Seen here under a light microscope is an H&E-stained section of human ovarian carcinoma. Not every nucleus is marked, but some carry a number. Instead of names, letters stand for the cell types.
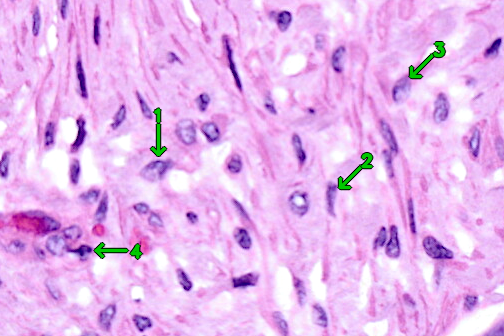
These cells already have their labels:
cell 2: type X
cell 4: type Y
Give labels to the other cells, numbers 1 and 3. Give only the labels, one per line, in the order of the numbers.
type X
type X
